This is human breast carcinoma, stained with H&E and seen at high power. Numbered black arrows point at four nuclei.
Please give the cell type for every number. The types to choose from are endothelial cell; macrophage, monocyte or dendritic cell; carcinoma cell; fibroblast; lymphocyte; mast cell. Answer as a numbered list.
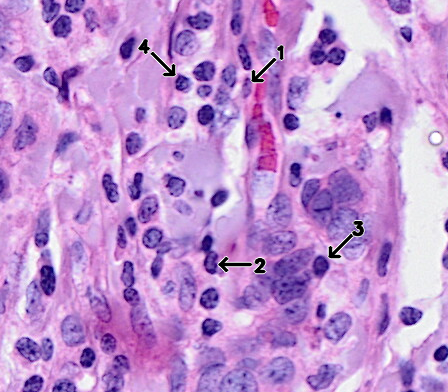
1. endothelial cell
2. lymphocyte
3. lymphocyte
4. lymphocyte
